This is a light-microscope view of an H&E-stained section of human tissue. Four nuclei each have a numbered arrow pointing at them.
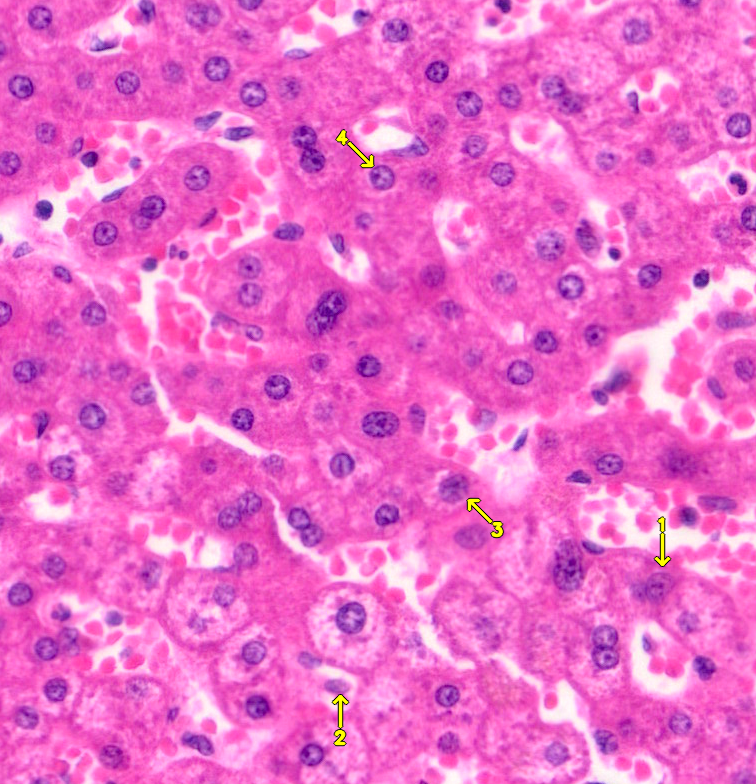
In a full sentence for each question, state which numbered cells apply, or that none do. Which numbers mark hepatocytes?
The cells numbered 1, 3 and 4 fall into the category of hepatocytes.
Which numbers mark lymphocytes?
Among the cells with numbered nuclei there are no lymphocytes.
